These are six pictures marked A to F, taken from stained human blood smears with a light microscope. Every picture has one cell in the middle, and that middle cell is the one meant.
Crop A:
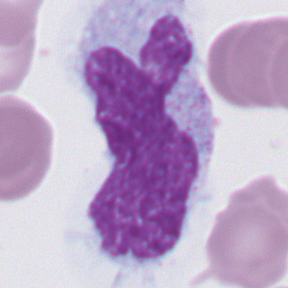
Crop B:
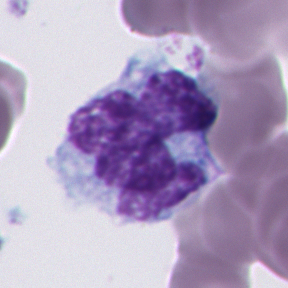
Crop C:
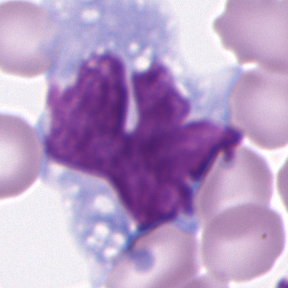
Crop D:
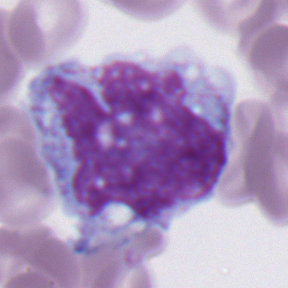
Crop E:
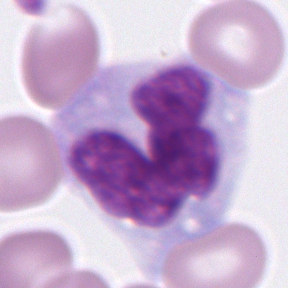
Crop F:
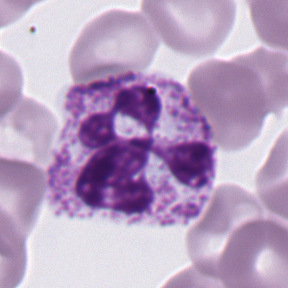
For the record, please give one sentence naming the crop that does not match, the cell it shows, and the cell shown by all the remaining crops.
Found in all crops but one are monocytes; the exception, crop F, contains a segmented neutrophil.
